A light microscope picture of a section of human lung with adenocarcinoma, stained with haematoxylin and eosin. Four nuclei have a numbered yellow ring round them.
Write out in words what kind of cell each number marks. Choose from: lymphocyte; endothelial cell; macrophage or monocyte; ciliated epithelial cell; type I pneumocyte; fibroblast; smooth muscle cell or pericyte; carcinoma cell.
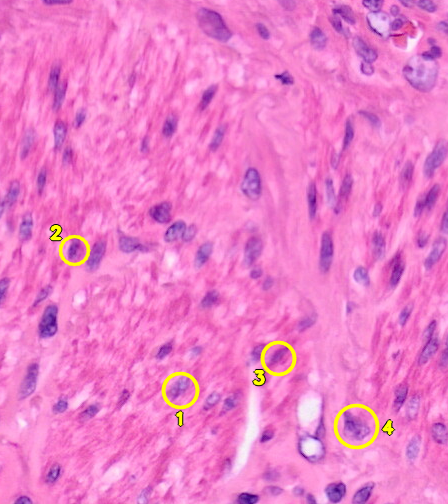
Cells 1, 2 and 3 are smooth muscle cells or pericytes. Cell 4 is a fibroblast.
